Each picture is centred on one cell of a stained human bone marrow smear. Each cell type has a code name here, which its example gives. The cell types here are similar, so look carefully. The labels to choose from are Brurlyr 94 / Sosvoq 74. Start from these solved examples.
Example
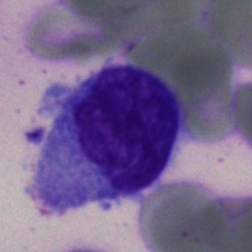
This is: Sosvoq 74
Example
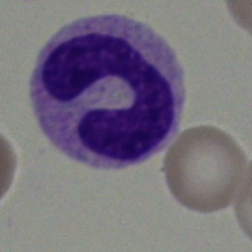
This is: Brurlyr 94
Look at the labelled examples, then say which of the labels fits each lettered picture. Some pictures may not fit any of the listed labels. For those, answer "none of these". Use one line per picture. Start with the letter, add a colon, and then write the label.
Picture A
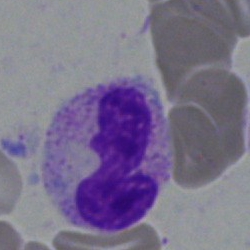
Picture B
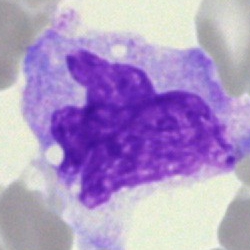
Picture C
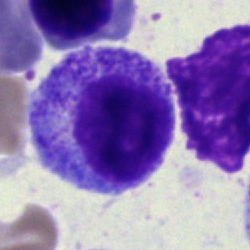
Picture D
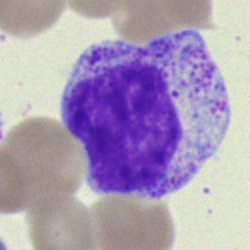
A: Brurlyr 94
B: Sosvoq 74
C: none of these
D: none of these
